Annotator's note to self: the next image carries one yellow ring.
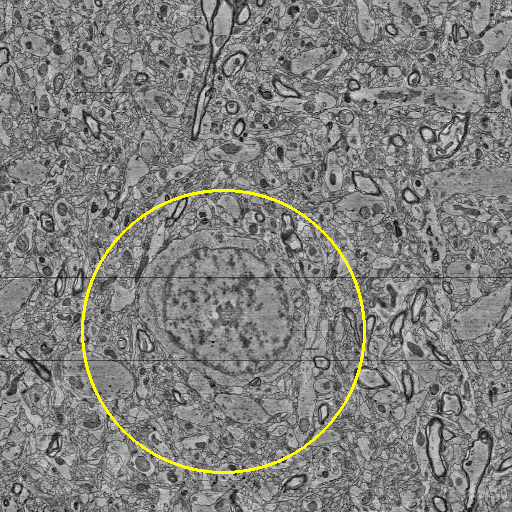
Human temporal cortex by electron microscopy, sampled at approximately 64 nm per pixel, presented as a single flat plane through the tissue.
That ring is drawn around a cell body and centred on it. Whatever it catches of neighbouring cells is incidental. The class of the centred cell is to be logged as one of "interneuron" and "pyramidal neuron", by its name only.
interneuron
